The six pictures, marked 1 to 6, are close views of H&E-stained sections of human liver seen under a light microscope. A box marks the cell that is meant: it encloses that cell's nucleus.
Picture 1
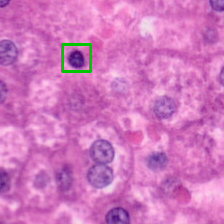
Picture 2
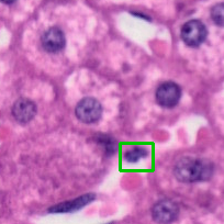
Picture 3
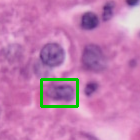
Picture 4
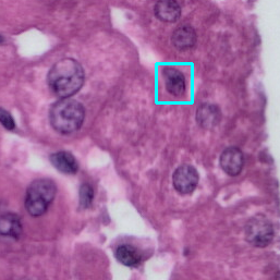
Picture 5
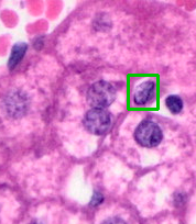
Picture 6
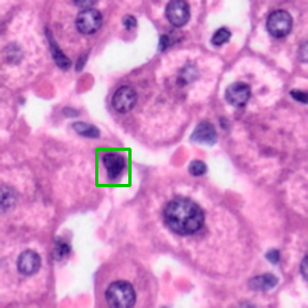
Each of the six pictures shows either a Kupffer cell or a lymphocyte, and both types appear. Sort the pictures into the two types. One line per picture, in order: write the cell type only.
lymphocyte
lymphocyte
Kupffer cell
Kupffer cell
Kupffer cell
Kupffer cell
